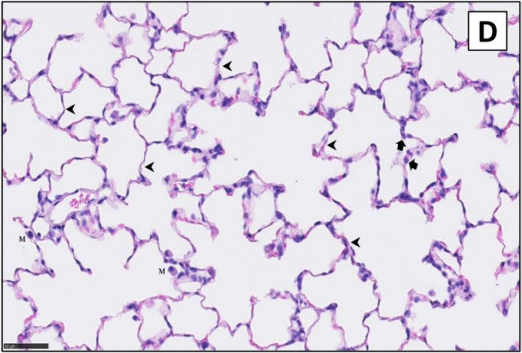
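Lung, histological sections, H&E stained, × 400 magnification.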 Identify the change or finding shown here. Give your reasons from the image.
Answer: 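Air spaces are wide and open. The answer: the alveolar walls are thin.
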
